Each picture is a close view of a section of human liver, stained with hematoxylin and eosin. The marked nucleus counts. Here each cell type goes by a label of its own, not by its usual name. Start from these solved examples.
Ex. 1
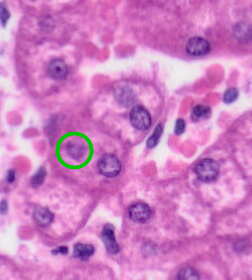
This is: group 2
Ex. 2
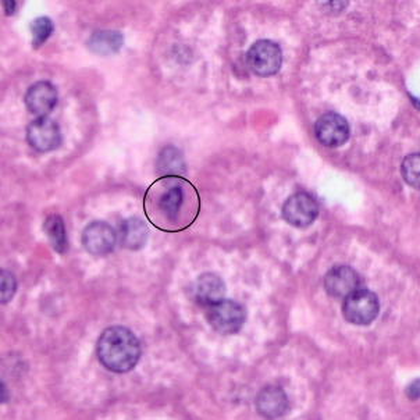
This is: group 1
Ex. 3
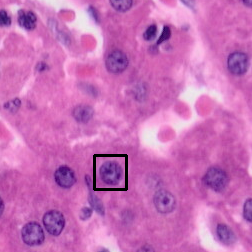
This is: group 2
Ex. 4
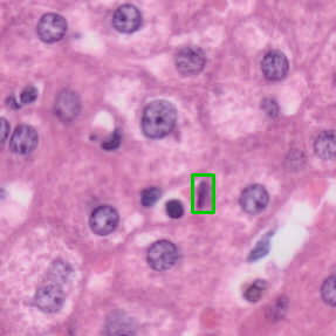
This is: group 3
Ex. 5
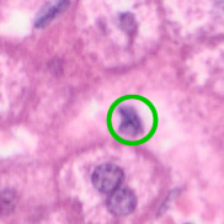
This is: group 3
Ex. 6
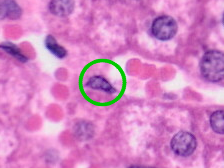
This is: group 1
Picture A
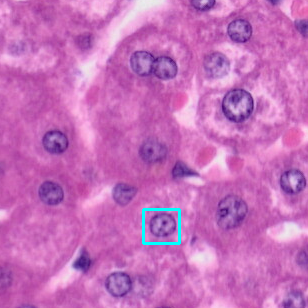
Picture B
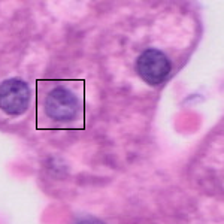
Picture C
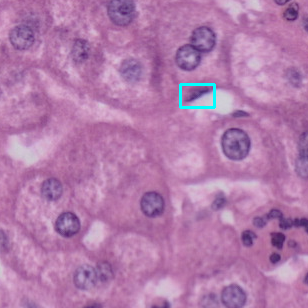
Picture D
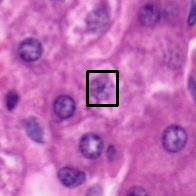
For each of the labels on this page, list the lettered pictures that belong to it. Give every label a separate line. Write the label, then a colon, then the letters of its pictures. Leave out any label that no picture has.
group 2: A, B, D
group 3: C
